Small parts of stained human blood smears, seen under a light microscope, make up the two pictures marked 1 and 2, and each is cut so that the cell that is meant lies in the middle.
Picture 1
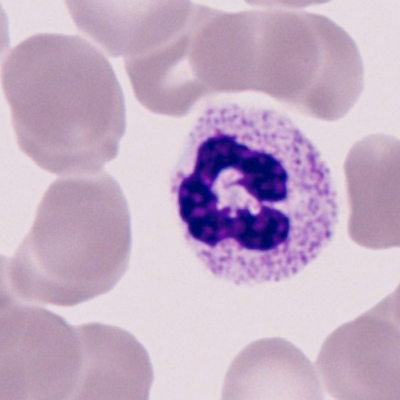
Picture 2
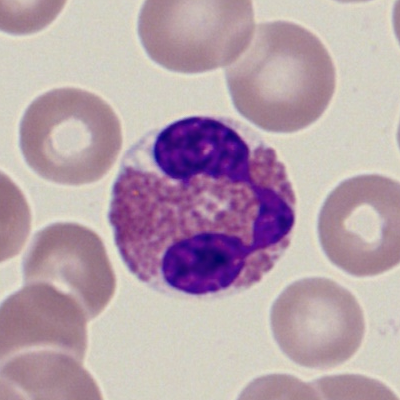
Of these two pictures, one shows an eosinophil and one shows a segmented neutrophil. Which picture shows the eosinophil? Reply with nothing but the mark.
2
